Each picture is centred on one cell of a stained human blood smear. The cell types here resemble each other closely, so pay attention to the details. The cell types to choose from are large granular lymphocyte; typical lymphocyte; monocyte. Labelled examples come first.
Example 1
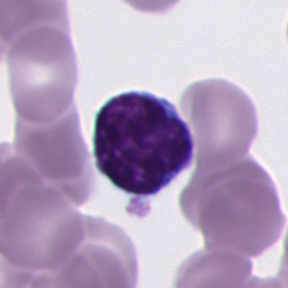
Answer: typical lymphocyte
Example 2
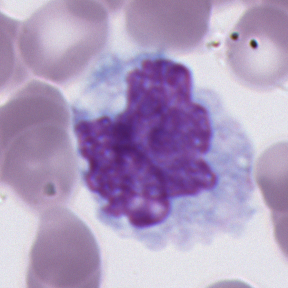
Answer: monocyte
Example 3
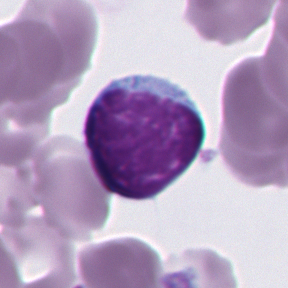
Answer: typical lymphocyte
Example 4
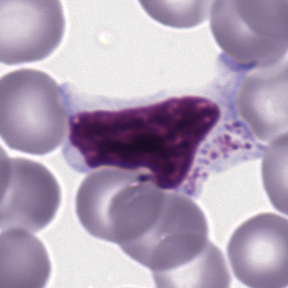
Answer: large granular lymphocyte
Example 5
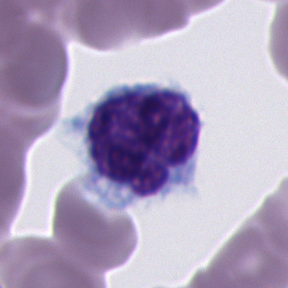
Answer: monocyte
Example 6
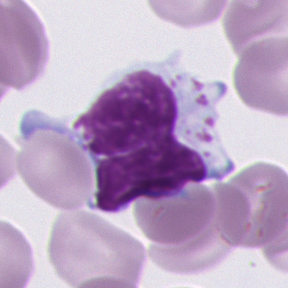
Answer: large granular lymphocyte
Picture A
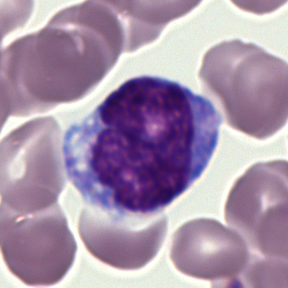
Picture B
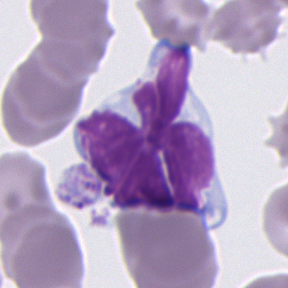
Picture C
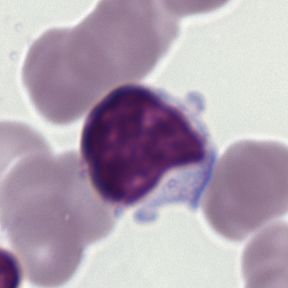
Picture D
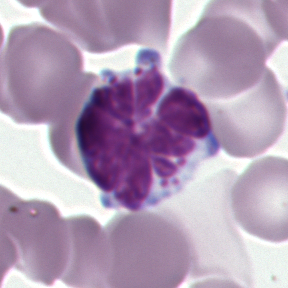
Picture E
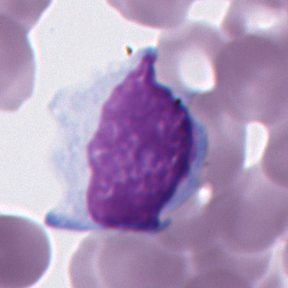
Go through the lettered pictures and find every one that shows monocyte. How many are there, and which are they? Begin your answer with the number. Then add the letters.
1: A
